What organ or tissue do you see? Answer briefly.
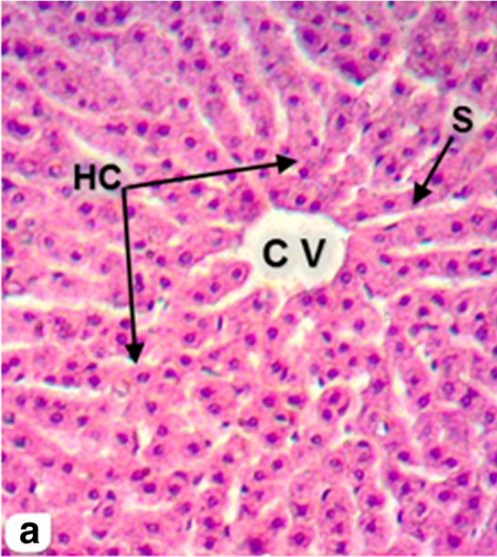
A: Liver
